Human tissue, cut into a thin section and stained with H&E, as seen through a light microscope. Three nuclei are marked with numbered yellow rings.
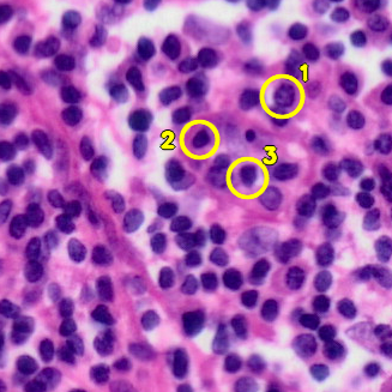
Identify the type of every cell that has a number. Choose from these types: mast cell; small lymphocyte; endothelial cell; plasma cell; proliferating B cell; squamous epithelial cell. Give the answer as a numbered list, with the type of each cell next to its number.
1. plasma cell
2. endothelial cell
3. endothelial cell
